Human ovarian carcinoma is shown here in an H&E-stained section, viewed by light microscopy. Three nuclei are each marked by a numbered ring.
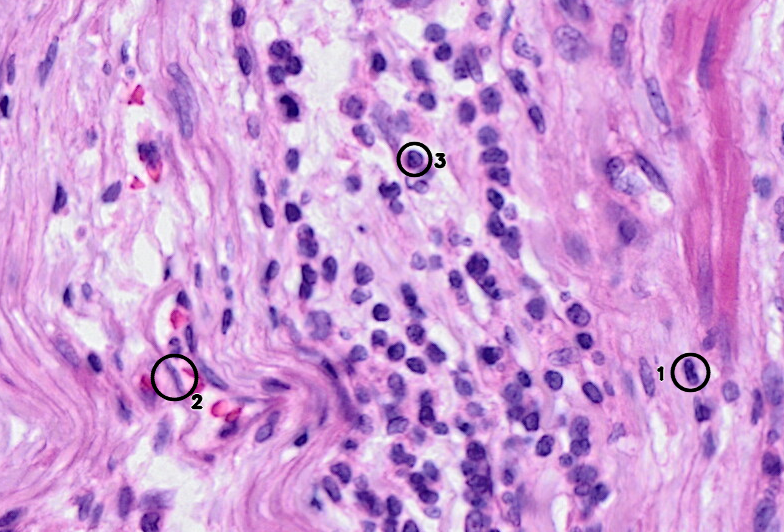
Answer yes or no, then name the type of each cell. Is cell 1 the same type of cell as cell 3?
Yes, cell 1 is one of the lymphocytes, and so is cell 3.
